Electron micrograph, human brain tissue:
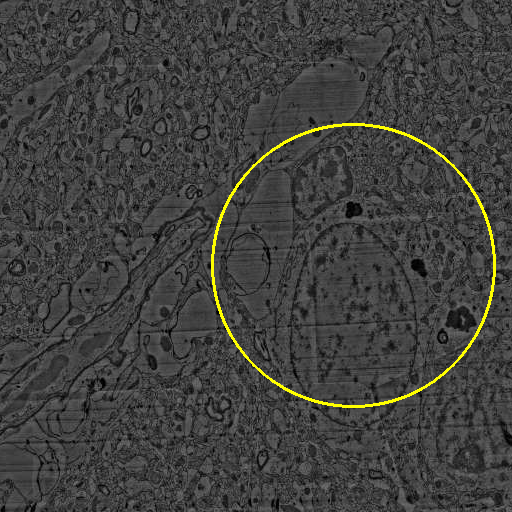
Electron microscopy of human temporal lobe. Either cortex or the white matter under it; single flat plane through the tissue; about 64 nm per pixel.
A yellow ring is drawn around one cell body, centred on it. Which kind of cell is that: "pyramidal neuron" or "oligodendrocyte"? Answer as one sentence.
It is a pyramidal neuron at the centre of the ring.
